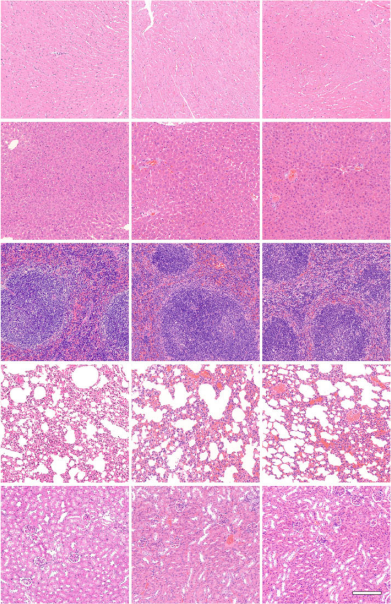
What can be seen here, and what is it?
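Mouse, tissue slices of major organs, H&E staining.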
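One row shows dense purple lymphoid nodules set in redder tissue. Another row shows thin-walled air spaces separated by delicate septa. Another row shows cut tubules with scattered rounded glomerular tufts.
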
